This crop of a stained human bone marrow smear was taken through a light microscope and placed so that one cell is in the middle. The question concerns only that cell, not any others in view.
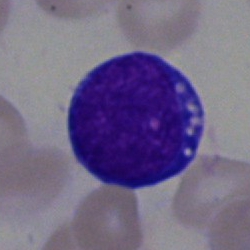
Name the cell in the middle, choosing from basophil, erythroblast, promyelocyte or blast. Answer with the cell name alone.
blast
